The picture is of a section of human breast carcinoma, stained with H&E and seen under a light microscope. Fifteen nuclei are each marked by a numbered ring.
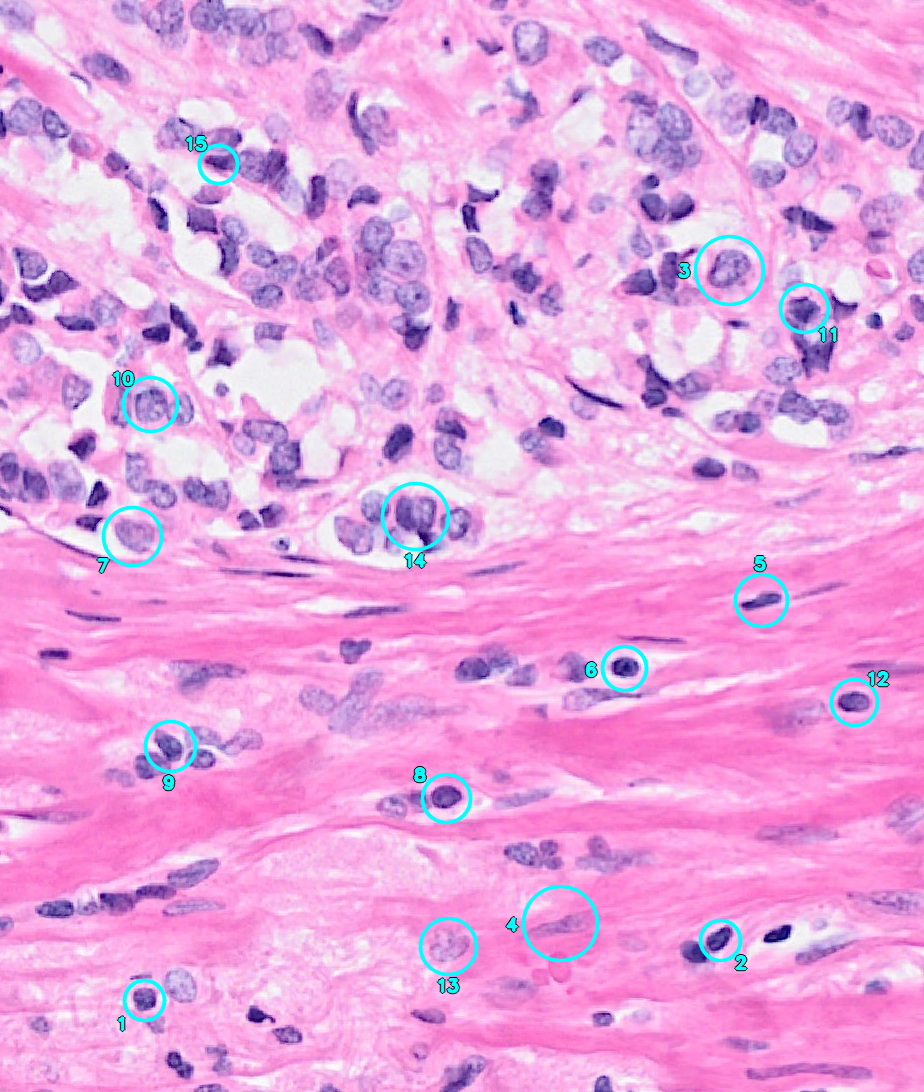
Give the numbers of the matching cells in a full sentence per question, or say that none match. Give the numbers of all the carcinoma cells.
The cells shown with numbers 3, 7, 10, 11, 14 and 15 are carcinoma cells.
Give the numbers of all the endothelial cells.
None of the cells labelled with numbers belong to the endothelial cells.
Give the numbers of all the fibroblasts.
The cells with numbers 4 and 13 are fibroblasts by type.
